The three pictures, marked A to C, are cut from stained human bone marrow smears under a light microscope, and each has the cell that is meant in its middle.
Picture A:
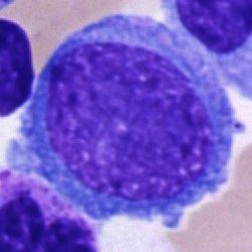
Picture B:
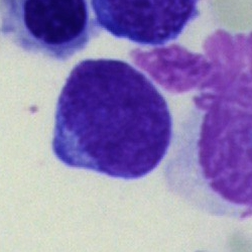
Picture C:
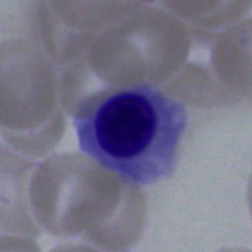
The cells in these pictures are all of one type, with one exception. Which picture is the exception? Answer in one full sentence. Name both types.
Unlike the rest, which show blasts, picture C shows an erythroblast.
